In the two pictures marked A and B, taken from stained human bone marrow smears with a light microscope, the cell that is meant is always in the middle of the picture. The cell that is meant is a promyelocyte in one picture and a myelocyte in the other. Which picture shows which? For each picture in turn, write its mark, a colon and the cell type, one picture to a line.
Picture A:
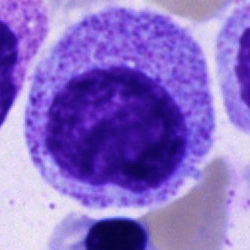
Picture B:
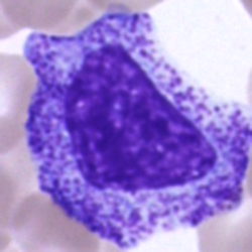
A: promyelocyte
B: myelocyte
